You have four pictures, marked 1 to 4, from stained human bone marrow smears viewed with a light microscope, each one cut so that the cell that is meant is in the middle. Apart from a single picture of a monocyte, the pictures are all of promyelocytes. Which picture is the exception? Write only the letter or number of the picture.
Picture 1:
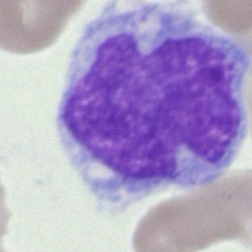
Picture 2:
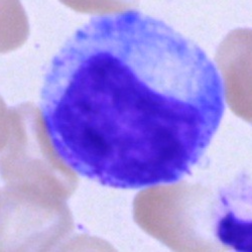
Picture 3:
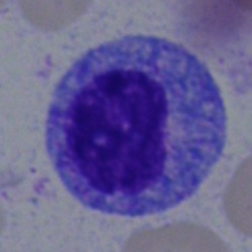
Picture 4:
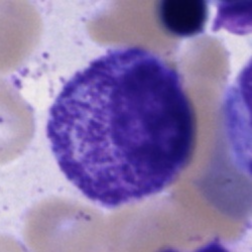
1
